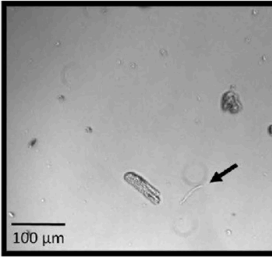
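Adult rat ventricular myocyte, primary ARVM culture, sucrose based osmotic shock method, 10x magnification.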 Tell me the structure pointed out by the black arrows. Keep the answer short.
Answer: myofibrils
